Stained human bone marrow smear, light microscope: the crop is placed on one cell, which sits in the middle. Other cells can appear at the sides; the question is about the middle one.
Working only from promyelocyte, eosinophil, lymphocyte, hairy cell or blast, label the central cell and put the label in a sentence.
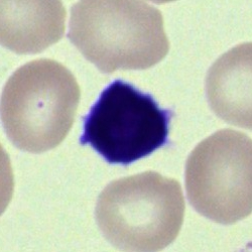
By type, the central cell of the crop is a lymphocyte.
